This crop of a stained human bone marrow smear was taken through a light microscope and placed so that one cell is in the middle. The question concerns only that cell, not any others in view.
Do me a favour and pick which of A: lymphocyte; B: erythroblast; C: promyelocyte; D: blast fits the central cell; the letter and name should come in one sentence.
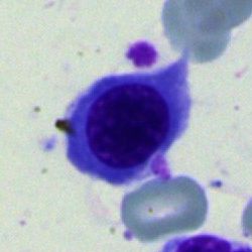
The cell in the middle is an erythroblast, and that makes option B correct.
